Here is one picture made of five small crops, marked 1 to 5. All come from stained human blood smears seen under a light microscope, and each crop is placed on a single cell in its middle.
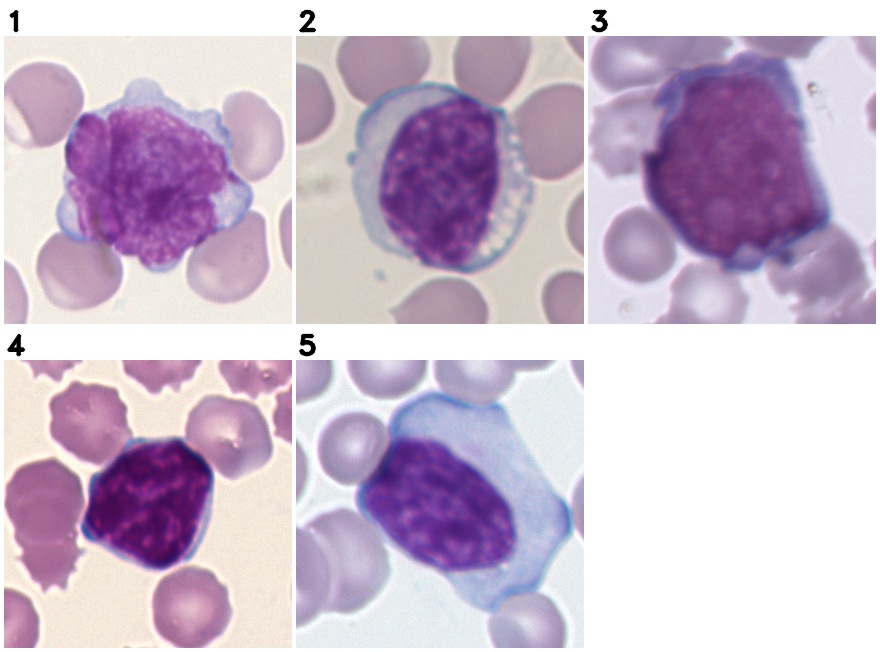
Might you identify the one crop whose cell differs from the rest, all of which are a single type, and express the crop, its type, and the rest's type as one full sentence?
Crop 4 breaks the pattern as a typical lymphocyte; the other crops all contain myeloblasts.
